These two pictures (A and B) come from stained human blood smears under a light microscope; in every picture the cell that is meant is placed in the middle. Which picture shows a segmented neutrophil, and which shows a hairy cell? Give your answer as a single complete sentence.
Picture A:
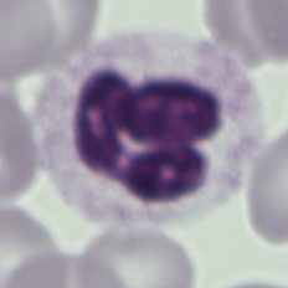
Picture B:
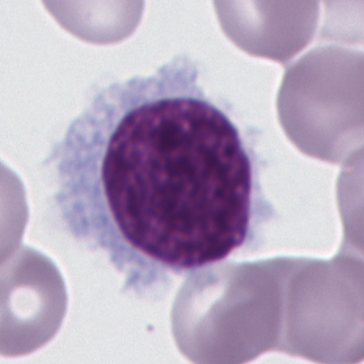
Picture B shows a hairy cell, while picture A shows a segmented neutrophil.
